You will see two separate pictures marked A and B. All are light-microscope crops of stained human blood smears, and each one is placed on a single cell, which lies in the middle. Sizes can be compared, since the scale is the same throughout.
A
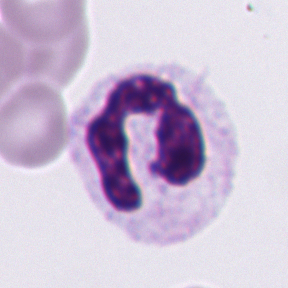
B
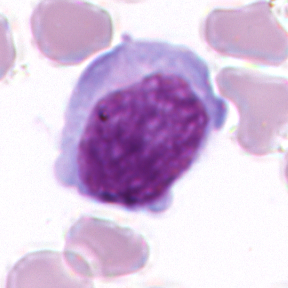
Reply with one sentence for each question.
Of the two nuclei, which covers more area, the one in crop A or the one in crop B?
The nucleus in crop B is larger, with about 1.5 times the area of the one in crop A.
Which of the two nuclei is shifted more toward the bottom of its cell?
The nucleus in crop B lies further toward the bottom of its cell.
